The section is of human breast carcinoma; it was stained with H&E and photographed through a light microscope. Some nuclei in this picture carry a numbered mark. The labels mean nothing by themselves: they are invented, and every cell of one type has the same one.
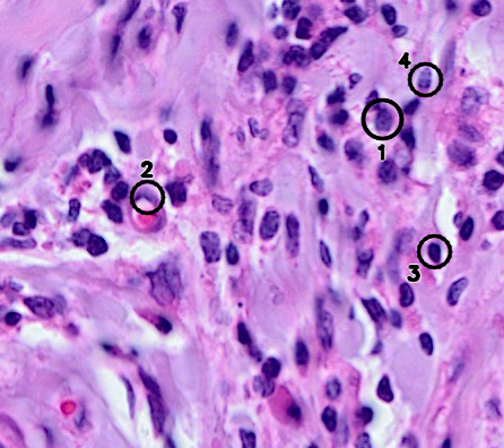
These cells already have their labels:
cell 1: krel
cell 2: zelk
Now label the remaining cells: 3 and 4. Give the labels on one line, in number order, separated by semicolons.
krel; krel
